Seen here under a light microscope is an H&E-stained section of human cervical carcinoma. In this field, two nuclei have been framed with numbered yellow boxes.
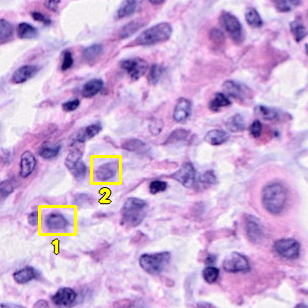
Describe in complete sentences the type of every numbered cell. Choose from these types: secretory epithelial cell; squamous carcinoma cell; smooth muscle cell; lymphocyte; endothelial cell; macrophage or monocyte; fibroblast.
Cell 1 is a macrophage or monocyte. Cell 2 is a fibroblast.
